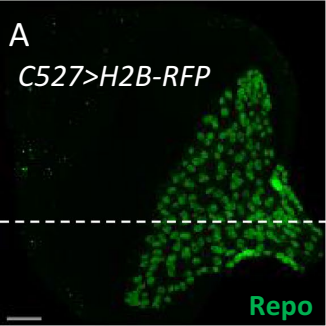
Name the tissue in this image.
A: Eye discs.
